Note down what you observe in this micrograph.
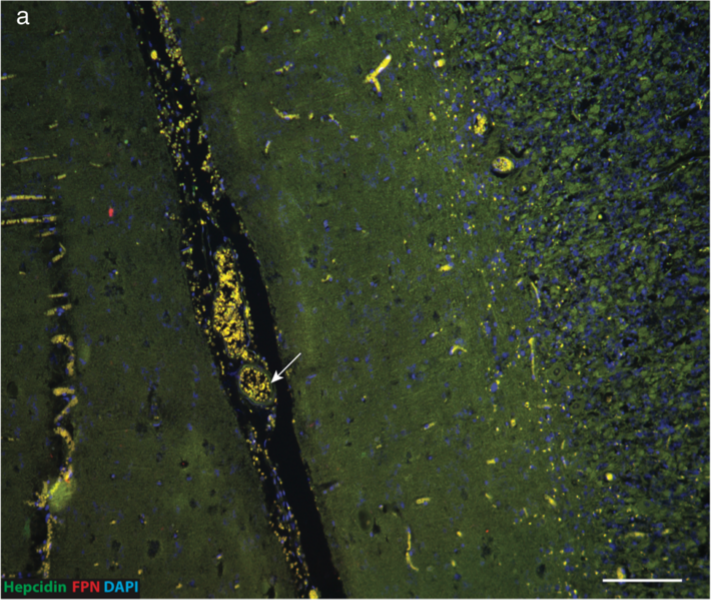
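This is a low-power view of brain tissue with scattered blue nuclei in a faintly green background of parenchyma. A long vessel runs diagonally through the field, its dark lumen containing masses of bright yellow punctate material. Many smaller vessels elsewhere in the tissue also hold short streaks of yellow puncta. Toward the right side the tissue is more densely packed with nuclei than on the left.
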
